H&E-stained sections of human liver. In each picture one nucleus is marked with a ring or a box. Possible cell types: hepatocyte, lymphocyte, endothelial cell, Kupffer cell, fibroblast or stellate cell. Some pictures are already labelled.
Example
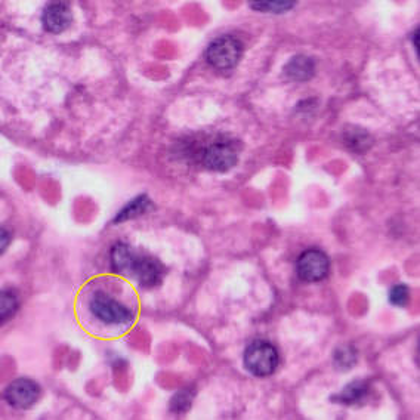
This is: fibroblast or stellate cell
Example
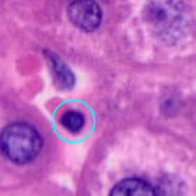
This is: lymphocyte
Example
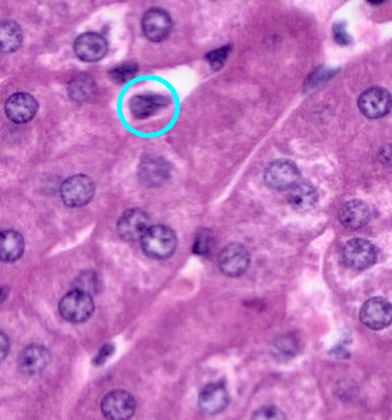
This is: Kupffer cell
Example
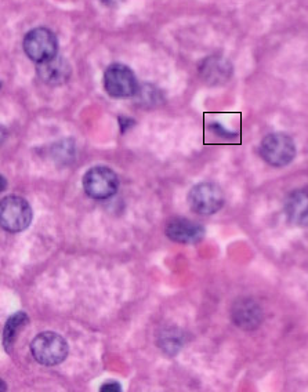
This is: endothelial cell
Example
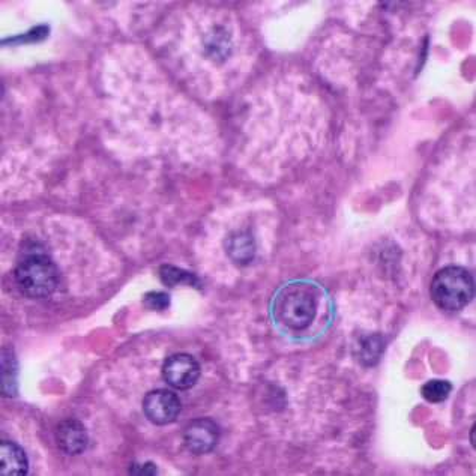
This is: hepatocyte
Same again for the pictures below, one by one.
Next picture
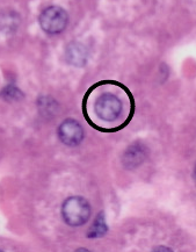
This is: hepatocyte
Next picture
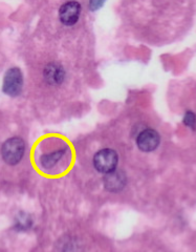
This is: endothelial cell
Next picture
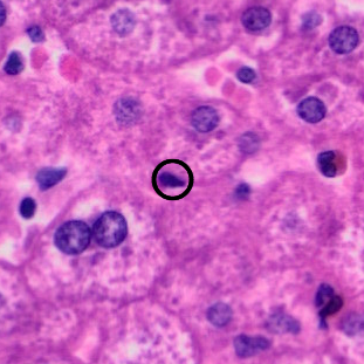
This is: fibroblast or stellate cell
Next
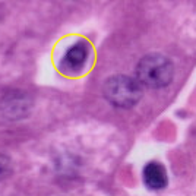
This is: Kupffer cell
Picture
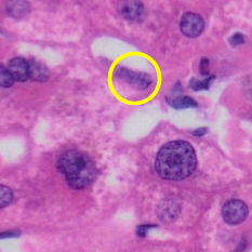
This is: Kupffer cell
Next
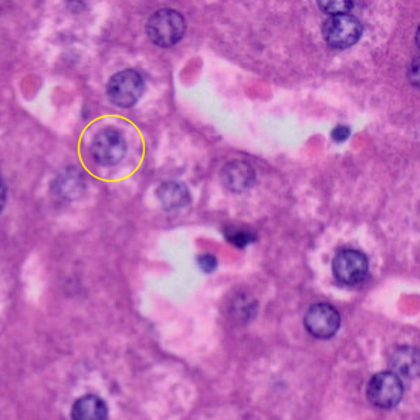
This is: hepatocyte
